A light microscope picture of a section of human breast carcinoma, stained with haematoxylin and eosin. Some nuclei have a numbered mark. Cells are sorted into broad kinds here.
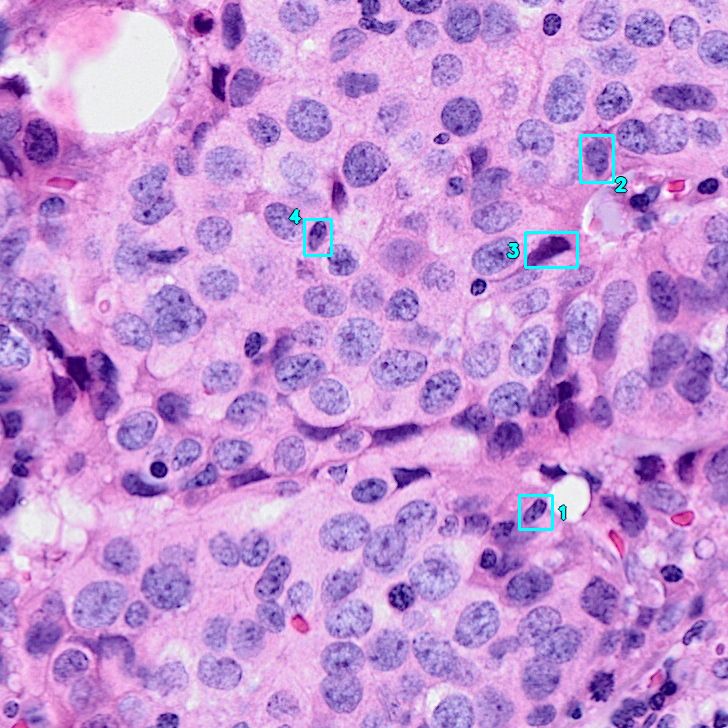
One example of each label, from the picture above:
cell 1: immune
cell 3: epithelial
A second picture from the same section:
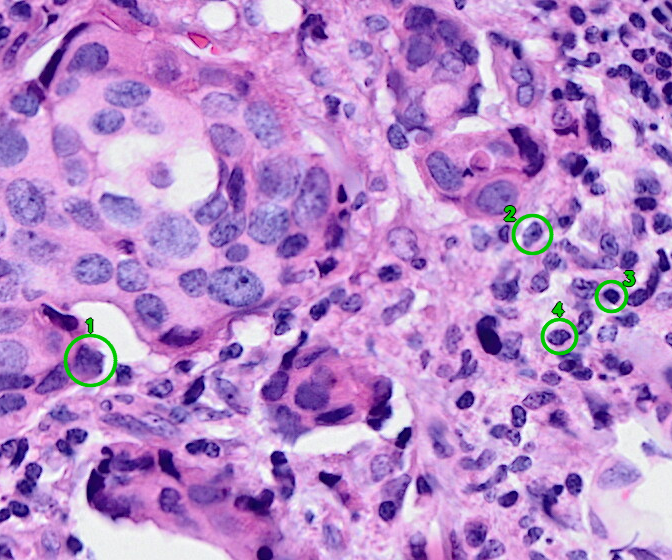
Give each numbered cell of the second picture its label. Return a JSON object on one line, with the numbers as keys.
{"1": "epithelial", "2": "immune", "3": "immune", "4": "immune"}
